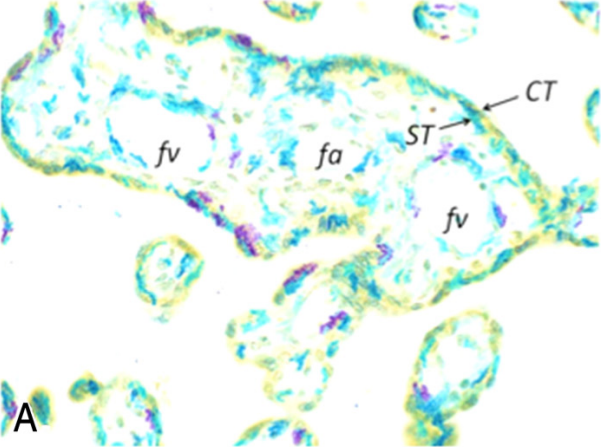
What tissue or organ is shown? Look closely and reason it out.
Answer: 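Placental. Rounded tissue profiles are separated by empty spaces. The largest profile holds several open round vessel lumens in a loose core. A thin continuous cellular layer covers each profile.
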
